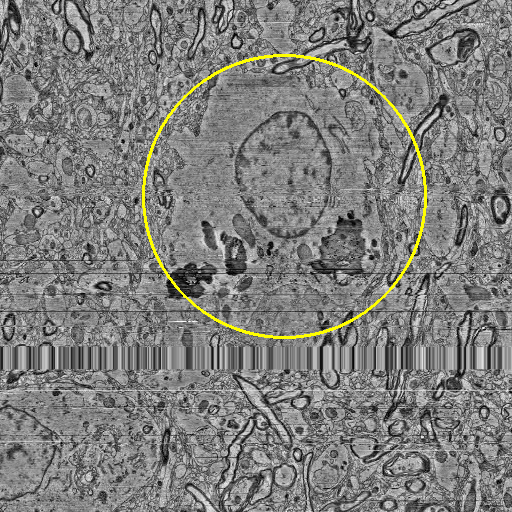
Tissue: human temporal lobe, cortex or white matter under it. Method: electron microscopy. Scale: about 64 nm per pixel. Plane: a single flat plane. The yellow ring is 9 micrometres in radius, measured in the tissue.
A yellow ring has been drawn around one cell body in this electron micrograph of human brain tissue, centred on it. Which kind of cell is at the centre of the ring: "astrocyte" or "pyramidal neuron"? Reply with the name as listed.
astrocyte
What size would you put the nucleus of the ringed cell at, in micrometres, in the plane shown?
Roughly 8 by 6 micrometres is the size of the nucleus in this plane.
